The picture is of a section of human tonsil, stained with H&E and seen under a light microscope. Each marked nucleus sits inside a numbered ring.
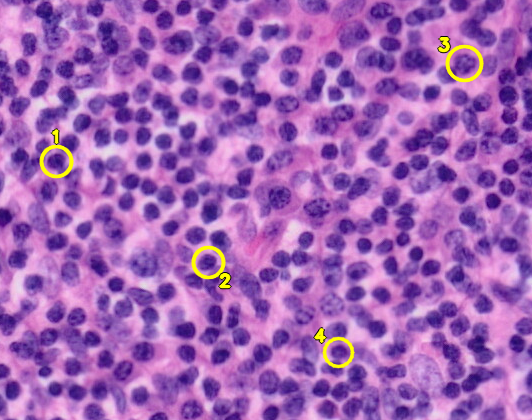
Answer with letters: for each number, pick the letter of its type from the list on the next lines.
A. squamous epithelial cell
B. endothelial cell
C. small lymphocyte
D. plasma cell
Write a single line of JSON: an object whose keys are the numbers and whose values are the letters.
{"1": "C", "2": "C", "3": "D", "4": "C"}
